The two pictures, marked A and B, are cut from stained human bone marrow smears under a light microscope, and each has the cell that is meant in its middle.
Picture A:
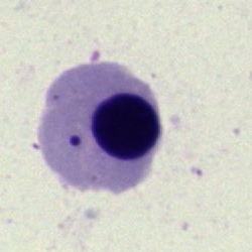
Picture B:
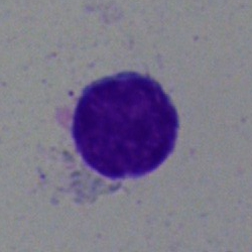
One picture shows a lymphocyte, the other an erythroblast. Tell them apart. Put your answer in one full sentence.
The cell in picture A is an erythroblast, and the one in picture B is a lymphocyte.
